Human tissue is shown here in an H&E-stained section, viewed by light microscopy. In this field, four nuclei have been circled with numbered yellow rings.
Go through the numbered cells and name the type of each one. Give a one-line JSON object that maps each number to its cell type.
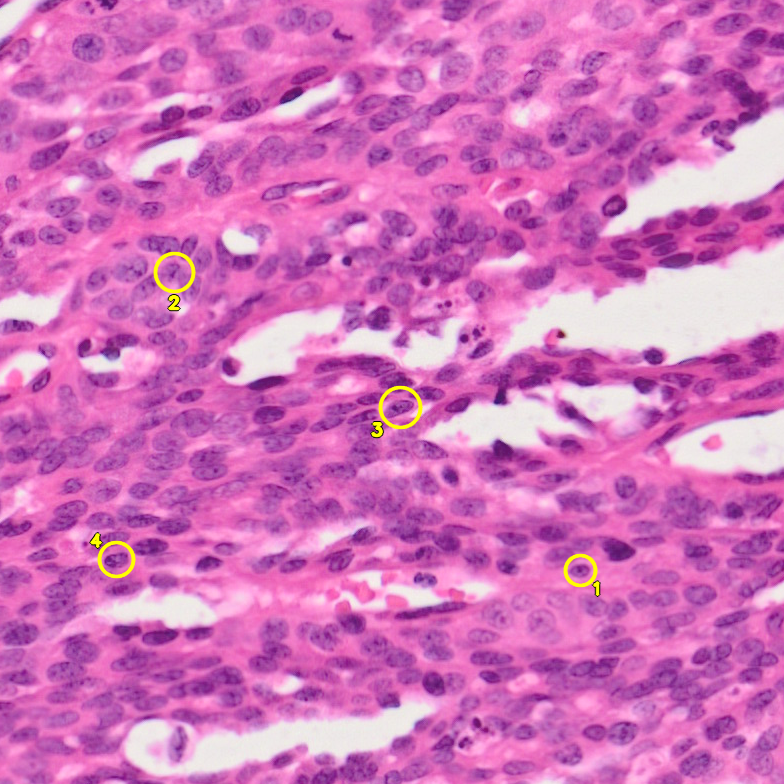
{"1": "macrophage or monocyte", "2": "carcinoma cell", "3": "macrophage or monocyte", "4": "macrophage or monocyte"}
